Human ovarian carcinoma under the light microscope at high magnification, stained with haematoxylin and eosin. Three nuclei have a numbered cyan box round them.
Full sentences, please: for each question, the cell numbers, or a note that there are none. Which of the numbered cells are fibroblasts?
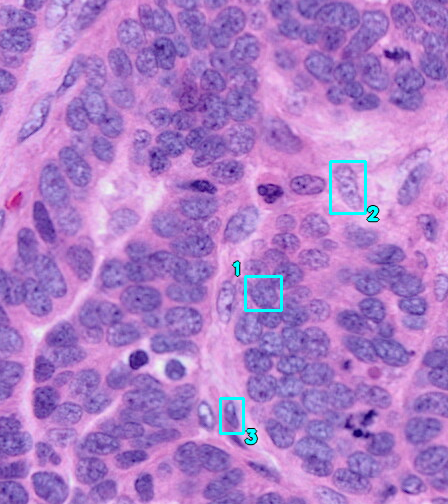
The cells identified by the numbers 2 and 3 are fibroblasts.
